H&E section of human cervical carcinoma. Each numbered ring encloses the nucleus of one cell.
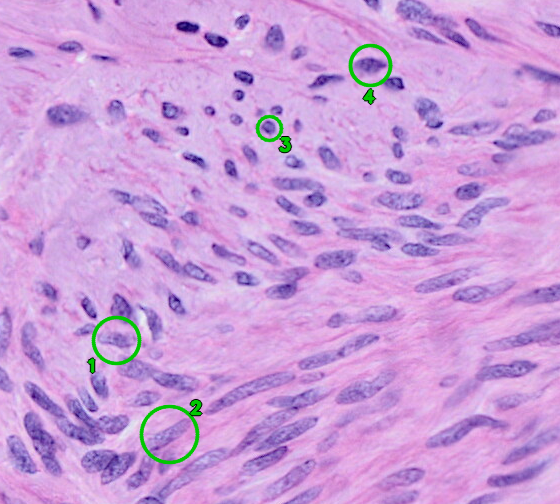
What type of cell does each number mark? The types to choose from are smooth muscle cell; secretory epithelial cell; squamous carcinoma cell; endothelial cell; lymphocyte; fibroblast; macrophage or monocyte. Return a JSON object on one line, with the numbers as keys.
{"1": "smooth muscle cell", "2": "smooth muscle cell", "3": "smooth muscle cell", "4": "fibroblast"}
